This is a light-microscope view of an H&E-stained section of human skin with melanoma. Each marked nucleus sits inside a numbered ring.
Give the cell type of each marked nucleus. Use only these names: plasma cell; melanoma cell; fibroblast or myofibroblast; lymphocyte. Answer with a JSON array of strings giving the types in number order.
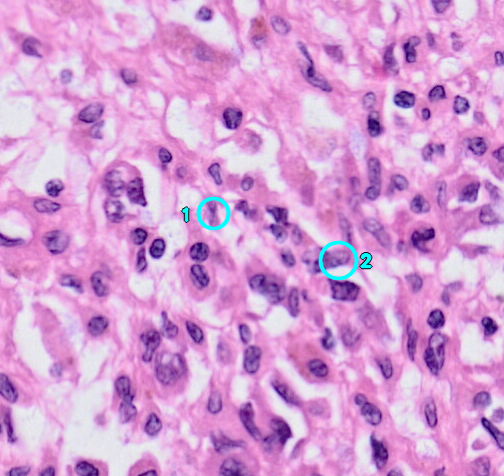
["fibroblast or myofibroblast", "melanoma cell"]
